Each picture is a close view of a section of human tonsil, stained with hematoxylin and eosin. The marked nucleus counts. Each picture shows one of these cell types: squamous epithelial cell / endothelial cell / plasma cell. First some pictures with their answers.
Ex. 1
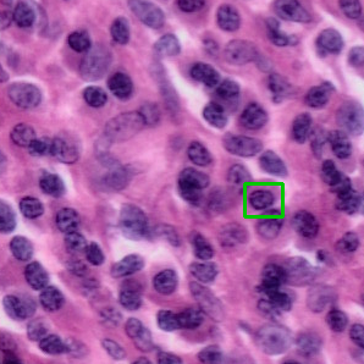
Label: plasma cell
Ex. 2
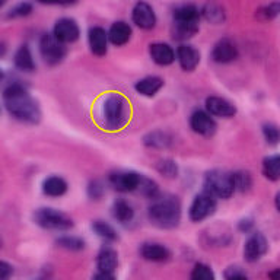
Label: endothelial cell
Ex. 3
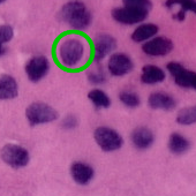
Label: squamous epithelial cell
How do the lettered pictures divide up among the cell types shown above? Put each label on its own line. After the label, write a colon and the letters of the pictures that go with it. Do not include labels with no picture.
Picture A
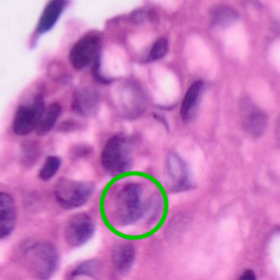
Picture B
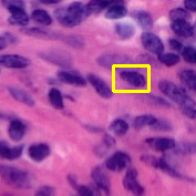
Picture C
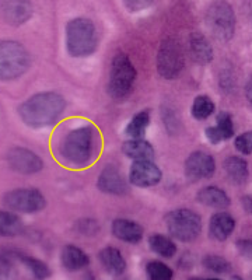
squamous epithelial cell: A, C
endothelial cell: B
